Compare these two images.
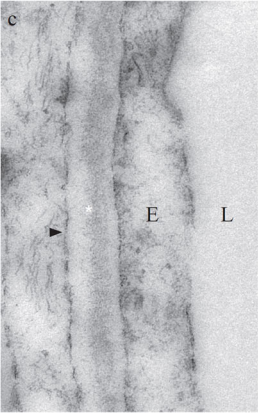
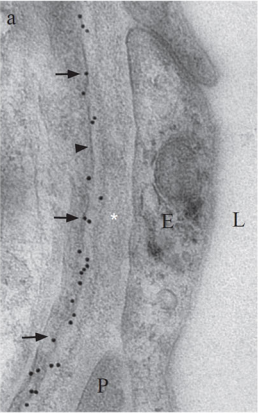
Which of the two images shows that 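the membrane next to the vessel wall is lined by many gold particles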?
the second image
